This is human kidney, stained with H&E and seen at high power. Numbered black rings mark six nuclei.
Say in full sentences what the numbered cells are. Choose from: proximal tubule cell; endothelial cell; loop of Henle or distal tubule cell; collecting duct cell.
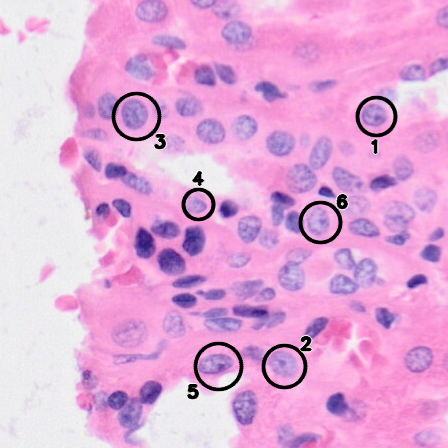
Cell 1 is a loop of Henle or distal tubule cell, cell 2 is a loop of Henle or distal tubule cell, cell 3 is a collecting duct cell, cell 4 is a collecting duct cell, cell 5 is a loop of Henle or distal tubule cell and cell 6 is a collecting duct cell.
